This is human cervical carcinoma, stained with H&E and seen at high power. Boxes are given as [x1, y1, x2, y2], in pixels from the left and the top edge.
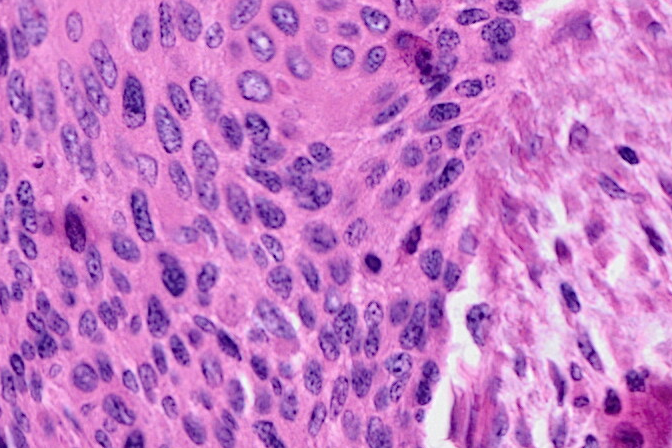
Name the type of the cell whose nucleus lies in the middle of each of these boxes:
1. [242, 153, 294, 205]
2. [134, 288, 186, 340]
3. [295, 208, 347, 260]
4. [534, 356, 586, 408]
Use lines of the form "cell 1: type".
cell 1: squamous carcinoma cell
cell 2: squamous carcinoma cell
cell 3: squamous carcinoma cell
cell 4: fibroblast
